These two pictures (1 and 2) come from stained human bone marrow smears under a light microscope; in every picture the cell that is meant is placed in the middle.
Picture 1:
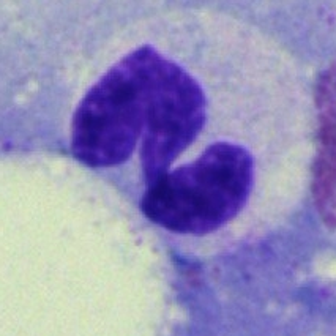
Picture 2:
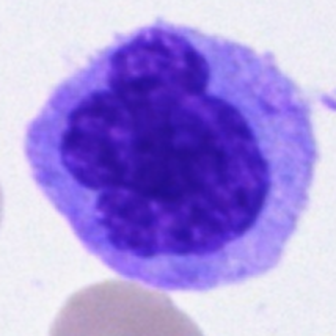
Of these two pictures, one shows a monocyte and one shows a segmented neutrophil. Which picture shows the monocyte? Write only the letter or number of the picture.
2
